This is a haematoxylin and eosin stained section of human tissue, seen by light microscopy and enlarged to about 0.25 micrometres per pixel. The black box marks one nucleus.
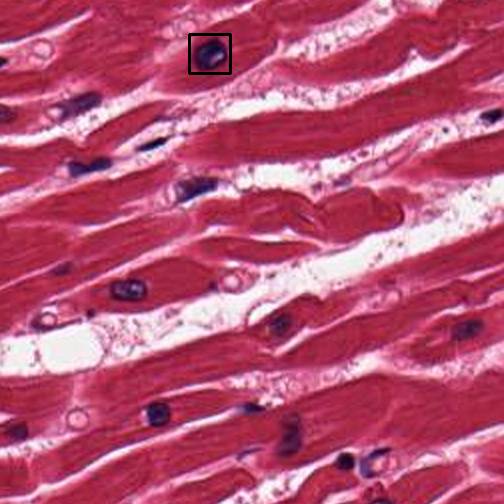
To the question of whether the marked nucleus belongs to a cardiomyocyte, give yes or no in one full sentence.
Yes, the marked nucleus, as shown, belongs to a cardiomyocyte.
